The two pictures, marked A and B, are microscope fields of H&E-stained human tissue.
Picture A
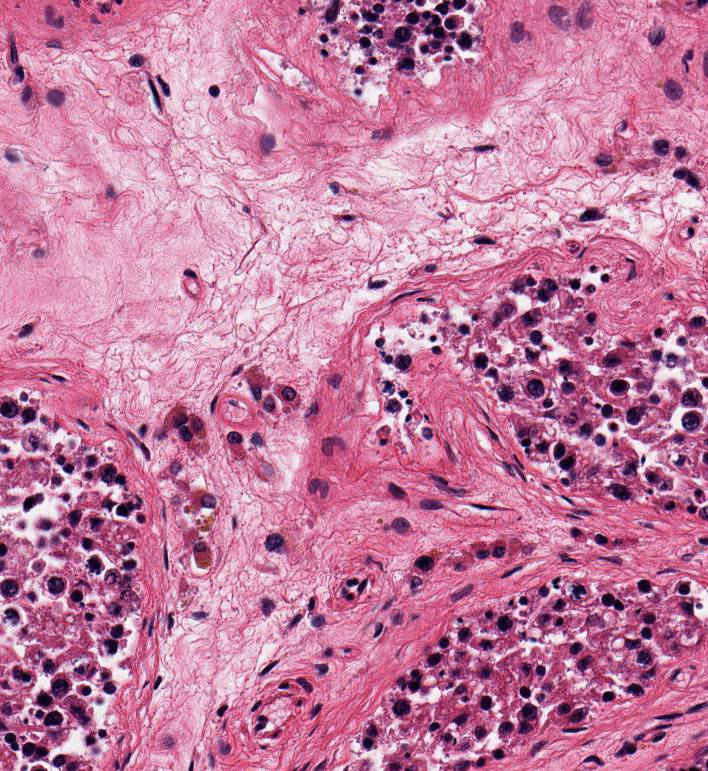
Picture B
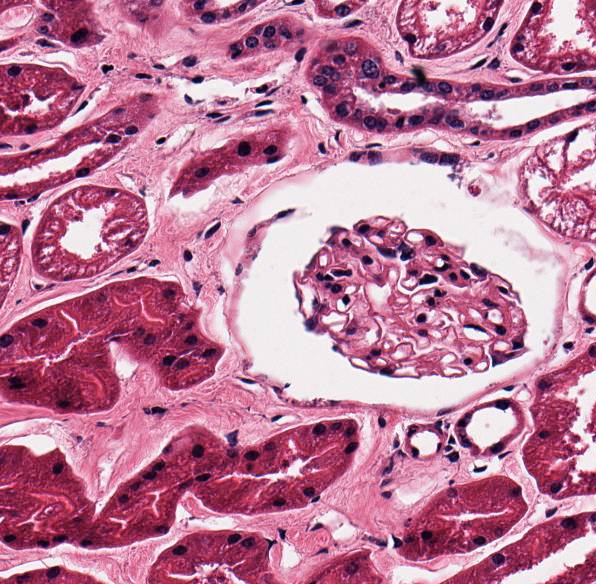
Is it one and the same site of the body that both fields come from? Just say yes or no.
no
